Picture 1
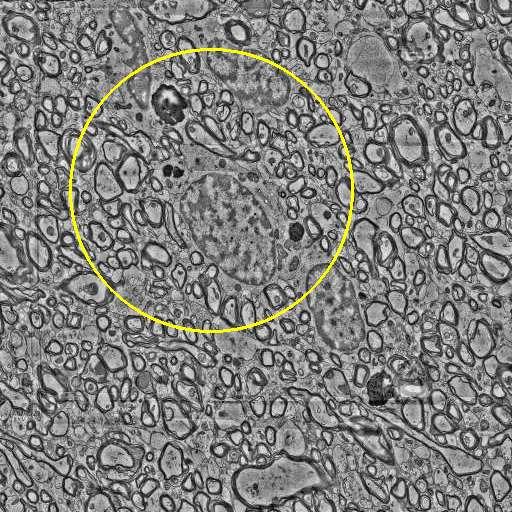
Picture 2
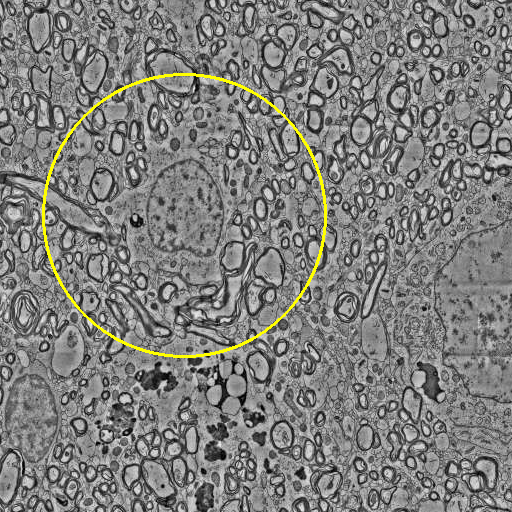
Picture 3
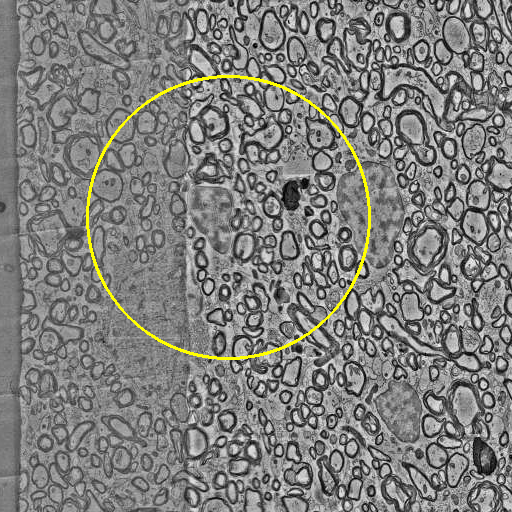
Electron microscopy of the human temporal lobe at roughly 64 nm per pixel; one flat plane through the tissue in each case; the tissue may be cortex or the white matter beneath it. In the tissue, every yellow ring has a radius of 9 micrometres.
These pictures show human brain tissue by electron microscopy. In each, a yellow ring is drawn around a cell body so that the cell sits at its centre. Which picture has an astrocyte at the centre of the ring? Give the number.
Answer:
2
